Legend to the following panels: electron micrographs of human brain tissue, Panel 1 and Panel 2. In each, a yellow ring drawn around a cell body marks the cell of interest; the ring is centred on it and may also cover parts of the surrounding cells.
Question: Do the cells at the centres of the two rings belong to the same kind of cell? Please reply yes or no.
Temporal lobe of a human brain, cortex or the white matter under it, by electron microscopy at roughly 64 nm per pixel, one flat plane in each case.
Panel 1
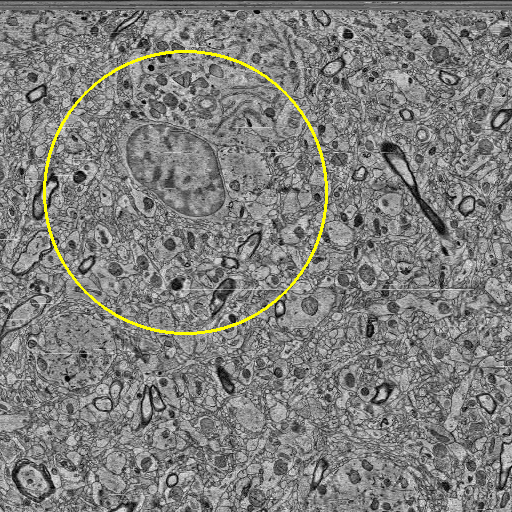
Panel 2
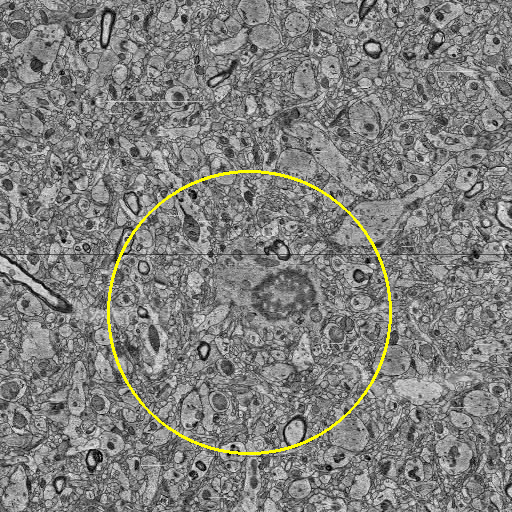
yes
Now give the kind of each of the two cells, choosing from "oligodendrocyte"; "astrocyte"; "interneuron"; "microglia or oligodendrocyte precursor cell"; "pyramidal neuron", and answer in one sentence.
The cell in the first picture is an oligodendrocyte, and so is the one in the second.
